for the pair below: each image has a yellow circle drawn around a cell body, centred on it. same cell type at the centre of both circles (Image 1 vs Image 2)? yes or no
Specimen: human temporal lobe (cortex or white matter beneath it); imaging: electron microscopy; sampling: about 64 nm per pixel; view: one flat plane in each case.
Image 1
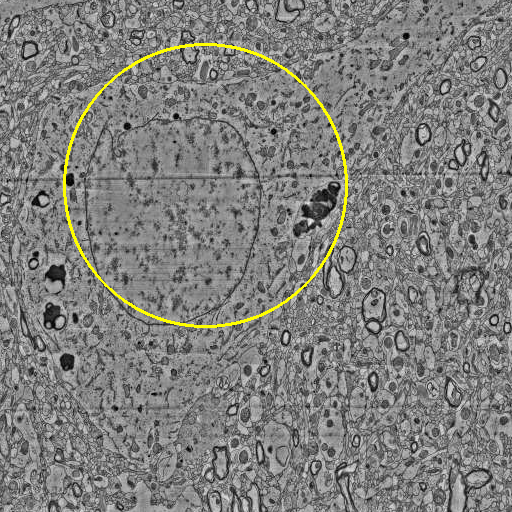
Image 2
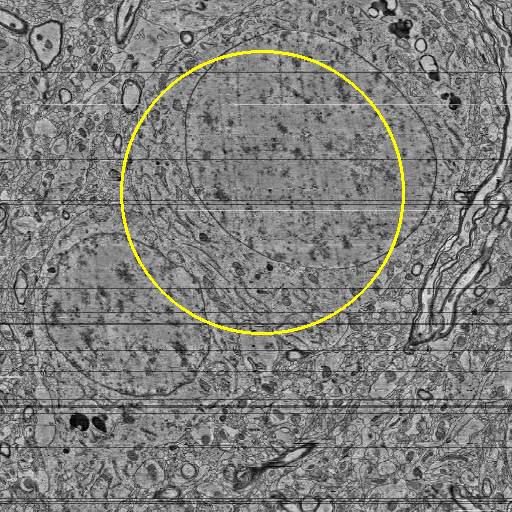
yes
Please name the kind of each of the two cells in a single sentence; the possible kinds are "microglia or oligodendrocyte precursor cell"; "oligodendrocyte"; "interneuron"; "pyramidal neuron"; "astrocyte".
Both cells are the same kind, each one being a pyramidal neuron.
